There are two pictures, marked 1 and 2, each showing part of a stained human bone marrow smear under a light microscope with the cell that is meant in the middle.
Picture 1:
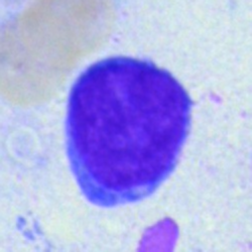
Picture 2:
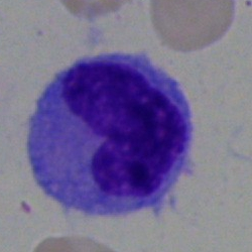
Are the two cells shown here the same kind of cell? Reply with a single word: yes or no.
no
